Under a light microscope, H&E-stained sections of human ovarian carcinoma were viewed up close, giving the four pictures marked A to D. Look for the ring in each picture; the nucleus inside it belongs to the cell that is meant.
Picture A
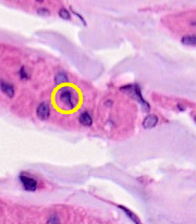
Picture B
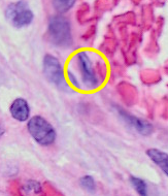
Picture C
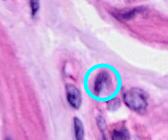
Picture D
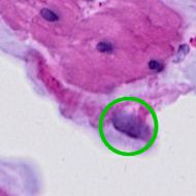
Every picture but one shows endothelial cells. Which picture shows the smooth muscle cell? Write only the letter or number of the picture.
A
